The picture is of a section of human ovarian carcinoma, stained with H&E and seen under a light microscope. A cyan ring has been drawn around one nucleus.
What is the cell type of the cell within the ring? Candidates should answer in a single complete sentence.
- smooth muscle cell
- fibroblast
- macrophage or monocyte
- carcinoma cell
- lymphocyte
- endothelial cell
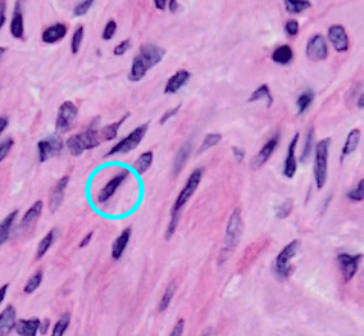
What the cell within the ring represents is a smooth muscle cell.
